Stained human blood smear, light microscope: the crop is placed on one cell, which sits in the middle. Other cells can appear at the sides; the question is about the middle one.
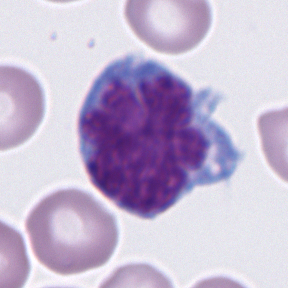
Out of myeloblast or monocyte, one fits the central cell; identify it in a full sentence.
The middle cell in this particular crop is a myeloblast.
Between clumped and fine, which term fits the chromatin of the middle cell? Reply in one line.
The nucleus shows chromatin that is coarsely clumped.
